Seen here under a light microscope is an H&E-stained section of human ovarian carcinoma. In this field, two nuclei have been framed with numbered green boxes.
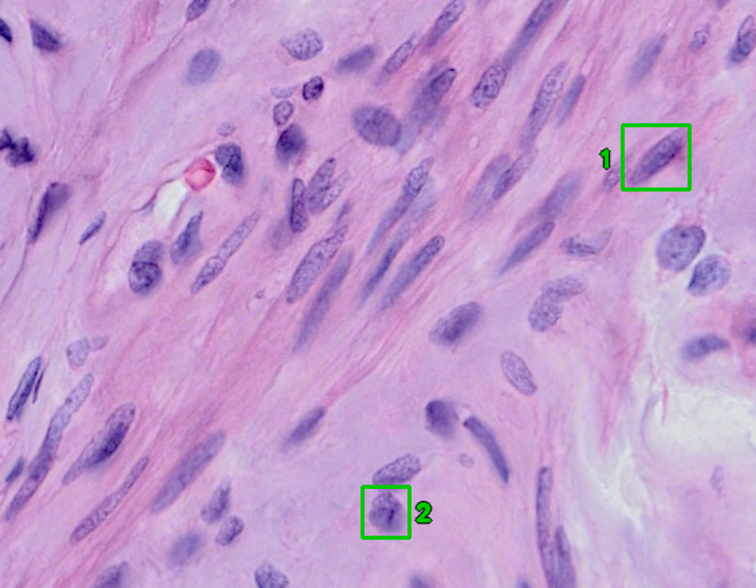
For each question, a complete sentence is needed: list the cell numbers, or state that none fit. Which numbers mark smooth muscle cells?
Cell 1 is a smooth muscle cell, and it is the only one.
